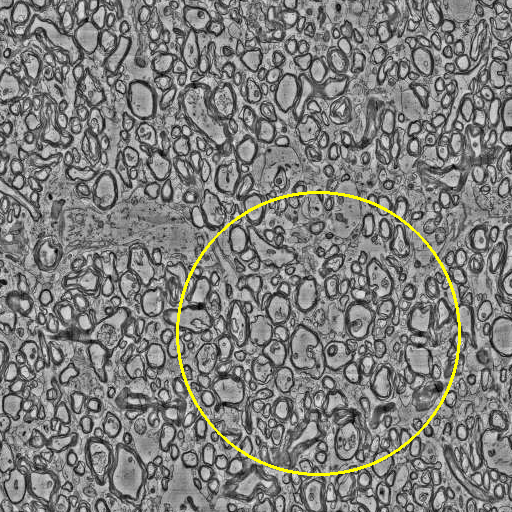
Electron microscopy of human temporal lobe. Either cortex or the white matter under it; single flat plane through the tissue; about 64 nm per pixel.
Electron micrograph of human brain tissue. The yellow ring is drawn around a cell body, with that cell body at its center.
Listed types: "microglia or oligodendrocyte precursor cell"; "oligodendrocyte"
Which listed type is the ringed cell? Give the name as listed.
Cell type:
microglia or oligodendrocyte precursor cell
